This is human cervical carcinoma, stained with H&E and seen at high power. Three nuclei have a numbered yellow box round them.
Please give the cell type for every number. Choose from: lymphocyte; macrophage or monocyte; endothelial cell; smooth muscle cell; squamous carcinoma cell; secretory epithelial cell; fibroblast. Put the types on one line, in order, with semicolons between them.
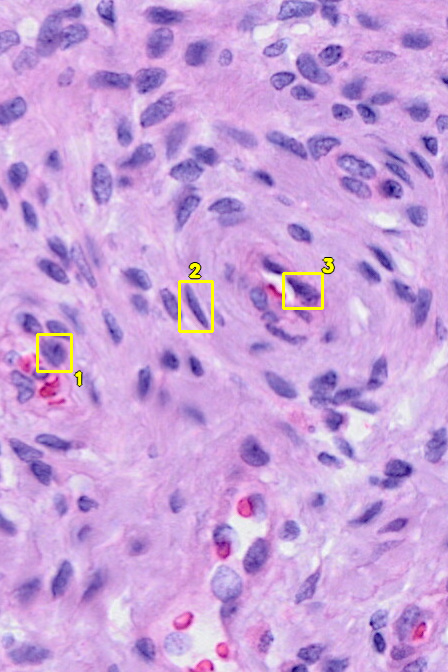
endothelial cell; fibroblast; endothelial cell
